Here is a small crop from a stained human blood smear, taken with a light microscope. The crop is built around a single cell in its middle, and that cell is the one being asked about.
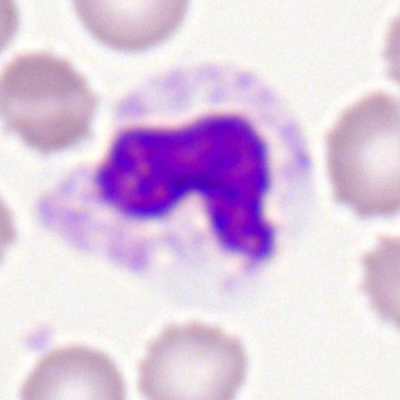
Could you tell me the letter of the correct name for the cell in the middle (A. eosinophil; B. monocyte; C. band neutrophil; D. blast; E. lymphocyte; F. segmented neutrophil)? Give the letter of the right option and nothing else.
C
